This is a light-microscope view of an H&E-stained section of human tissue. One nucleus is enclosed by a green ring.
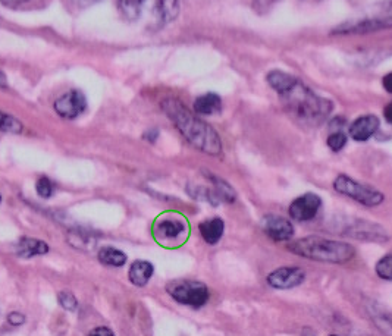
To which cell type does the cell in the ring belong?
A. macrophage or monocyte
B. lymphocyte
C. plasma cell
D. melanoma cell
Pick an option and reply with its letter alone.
C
